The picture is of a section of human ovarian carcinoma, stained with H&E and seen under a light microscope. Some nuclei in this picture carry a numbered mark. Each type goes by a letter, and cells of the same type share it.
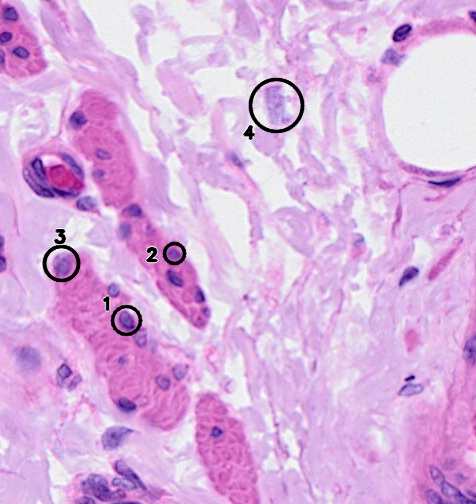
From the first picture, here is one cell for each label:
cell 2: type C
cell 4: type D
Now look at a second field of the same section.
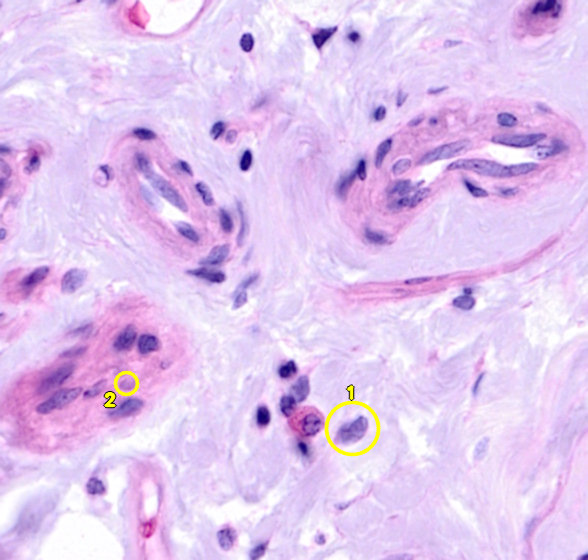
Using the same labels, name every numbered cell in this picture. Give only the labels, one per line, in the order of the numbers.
type D
type C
